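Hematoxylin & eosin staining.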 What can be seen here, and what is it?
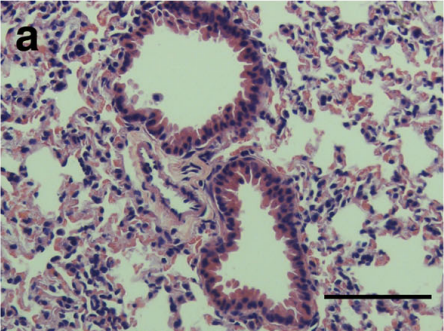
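Lung tissue with two small airways cut in cross section, surrounded by alveolar tissue. Each airway is lined by a single layer of cuboidal to low columnar epithelial cells with dark purple nuclei and pink cytoplasm. A thin layer of connective tissue lies between the two airways.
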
